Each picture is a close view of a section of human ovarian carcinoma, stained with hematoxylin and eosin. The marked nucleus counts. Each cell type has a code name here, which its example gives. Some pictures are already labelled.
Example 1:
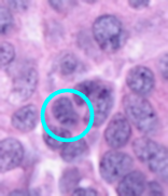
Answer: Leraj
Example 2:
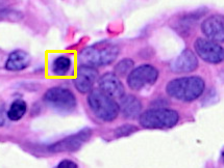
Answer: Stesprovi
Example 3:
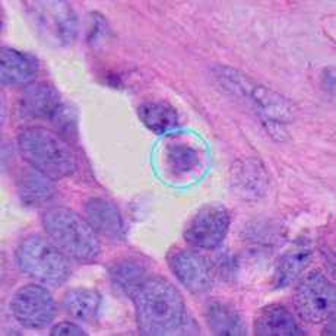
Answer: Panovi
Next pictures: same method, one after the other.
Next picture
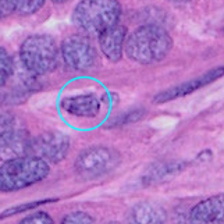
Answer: Panovi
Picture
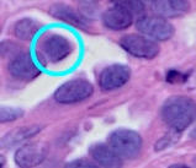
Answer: Leraj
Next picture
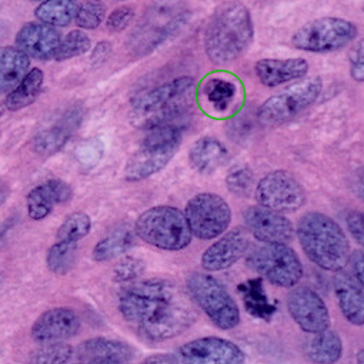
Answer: Stesprovi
